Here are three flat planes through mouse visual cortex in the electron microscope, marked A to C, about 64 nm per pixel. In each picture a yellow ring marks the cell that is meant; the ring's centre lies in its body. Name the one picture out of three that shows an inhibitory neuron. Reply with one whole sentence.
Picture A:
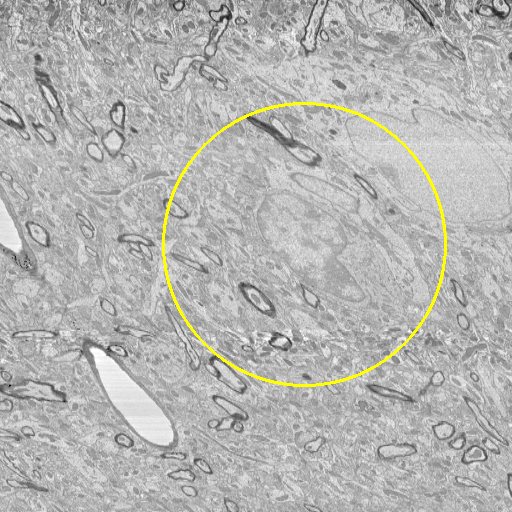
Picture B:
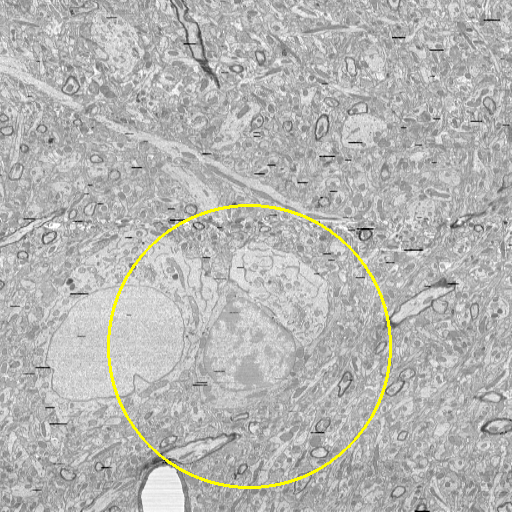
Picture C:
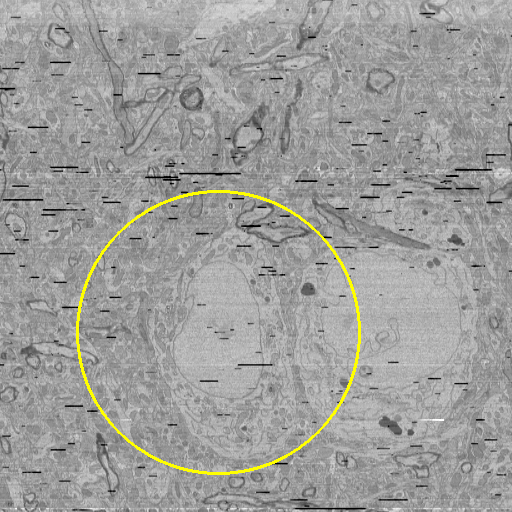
The cell in picture C is the inhibitory neuron.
